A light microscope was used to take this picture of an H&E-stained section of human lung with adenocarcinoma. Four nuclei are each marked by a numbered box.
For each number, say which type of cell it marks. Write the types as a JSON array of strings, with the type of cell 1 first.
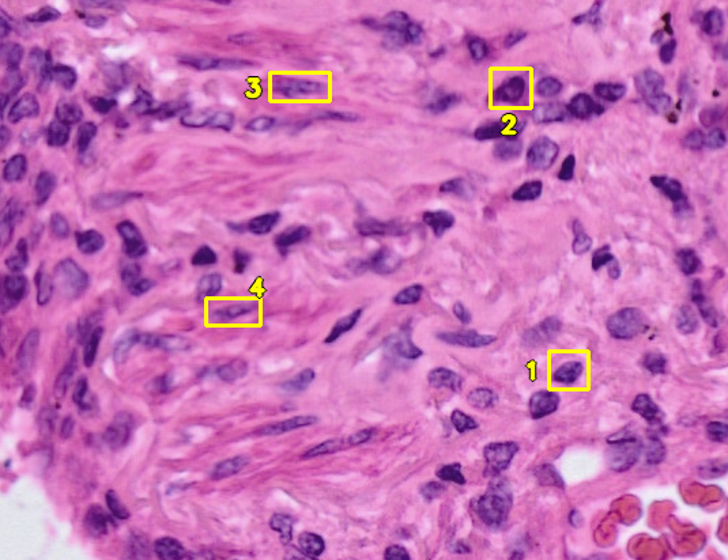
["lymphocyte", "plasma cell", "smooth muscle cell or pericyte", "smooth muscle cell or pericyte"]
